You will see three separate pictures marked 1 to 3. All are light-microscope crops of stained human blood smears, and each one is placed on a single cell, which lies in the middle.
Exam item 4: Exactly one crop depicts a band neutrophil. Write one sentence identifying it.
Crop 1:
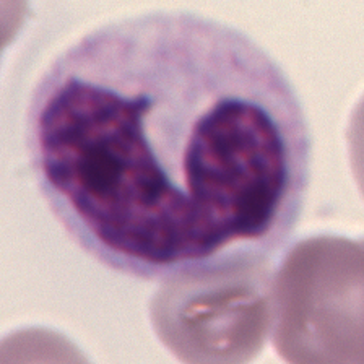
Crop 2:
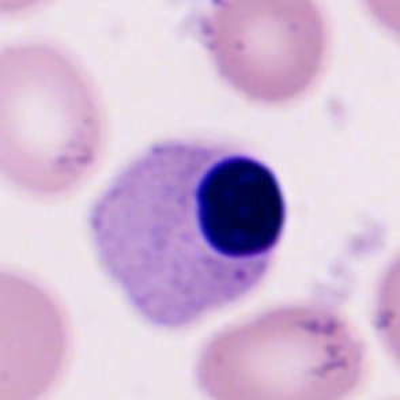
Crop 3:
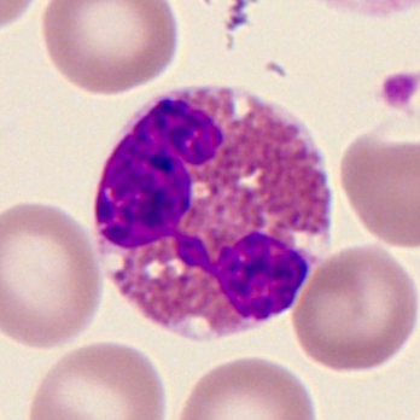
Crop 1 is the one depicting a band neutrophil.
